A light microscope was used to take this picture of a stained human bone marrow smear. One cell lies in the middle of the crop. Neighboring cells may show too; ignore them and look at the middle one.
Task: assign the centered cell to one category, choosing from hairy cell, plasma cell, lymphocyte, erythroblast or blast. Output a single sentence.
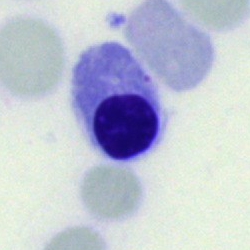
The cell at the middle of the frame should be recorded as an erythroblast.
